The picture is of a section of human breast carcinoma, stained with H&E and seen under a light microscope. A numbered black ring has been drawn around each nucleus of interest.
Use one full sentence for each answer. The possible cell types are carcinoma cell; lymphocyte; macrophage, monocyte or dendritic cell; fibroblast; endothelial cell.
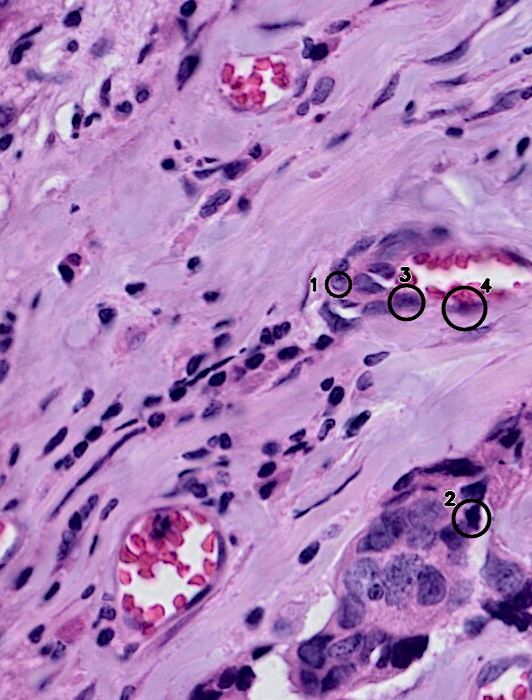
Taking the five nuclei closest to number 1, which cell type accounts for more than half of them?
Of the five nuclei nearest to number 1, most belong to fibroblasts.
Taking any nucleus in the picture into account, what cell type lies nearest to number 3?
The nucleus nearest to number 3 is that of an endothelial cell.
